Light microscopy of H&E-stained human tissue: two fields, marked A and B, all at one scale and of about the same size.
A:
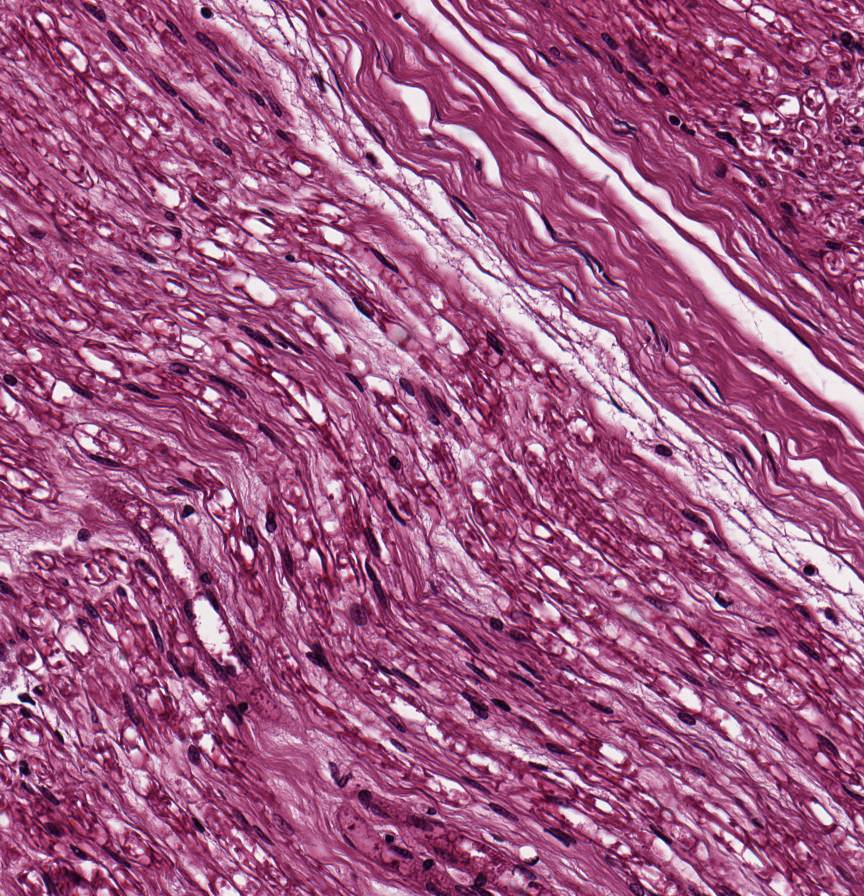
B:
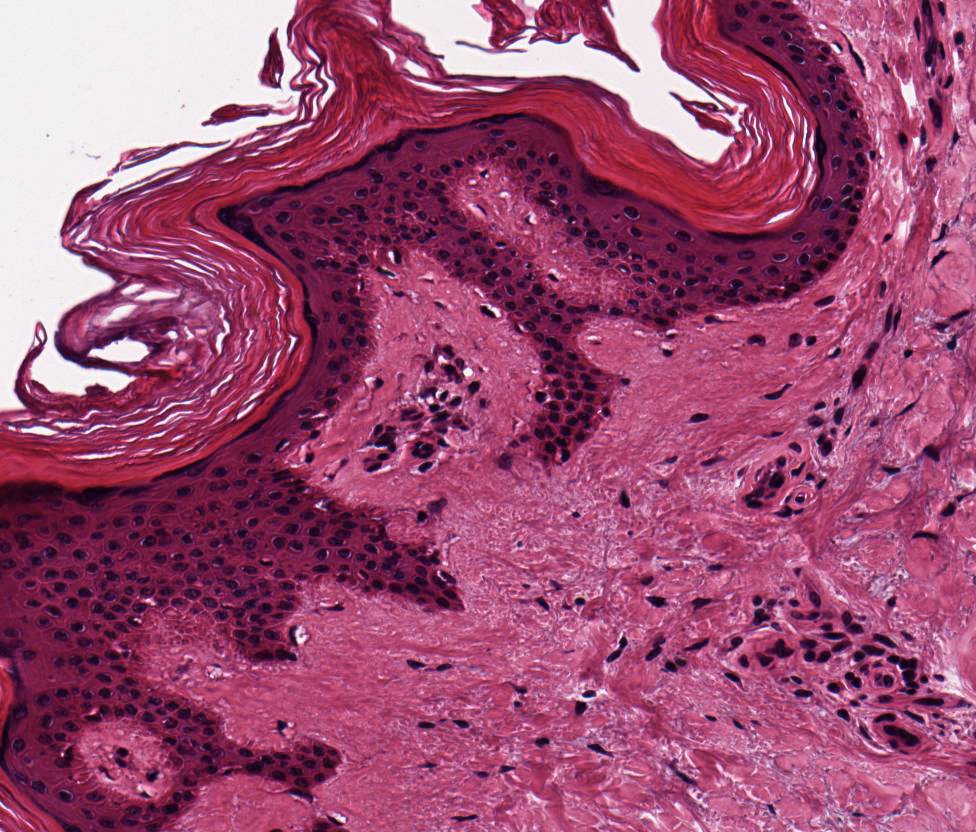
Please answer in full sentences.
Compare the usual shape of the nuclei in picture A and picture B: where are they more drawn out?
The nuclei are more elongated in picture A.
